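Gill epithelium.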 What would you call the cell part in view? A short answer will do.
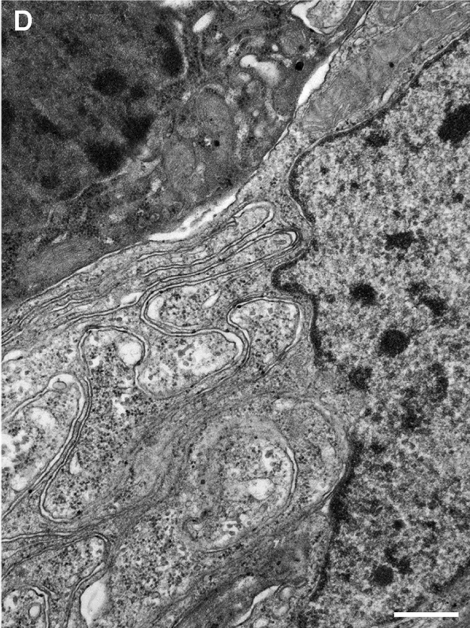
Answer: Basolateral infoldings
